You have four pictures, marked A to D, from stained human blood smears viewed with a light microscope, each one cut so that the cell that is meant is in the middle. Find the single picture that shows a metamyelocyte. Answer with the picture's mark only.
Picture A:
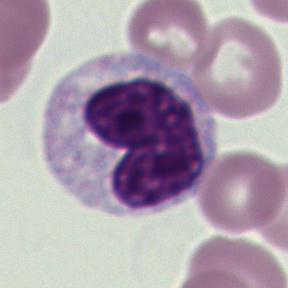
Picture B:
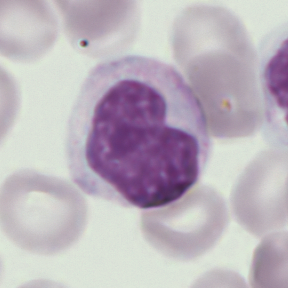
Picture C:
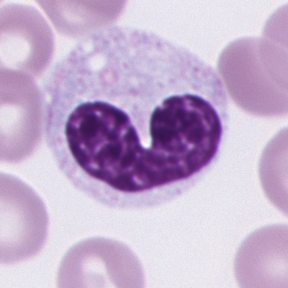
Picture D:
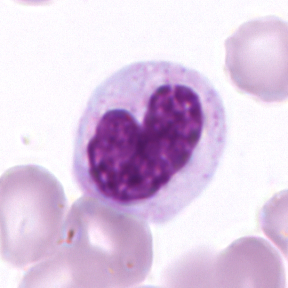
B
